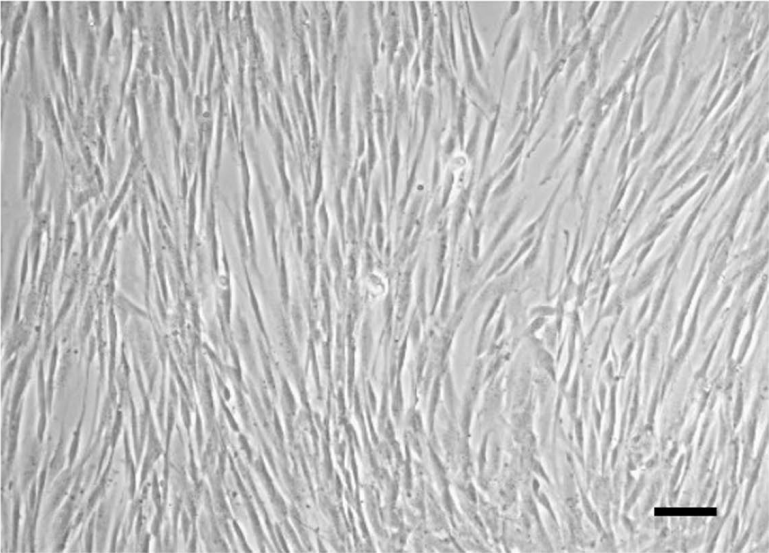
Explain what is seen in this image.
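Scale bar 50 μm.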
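Dense, near-confluent monolayer of spindle-shaped cultured cells, seen unstained under phase contrast. Cells are long and narrow, tapering at both ends, and lie closely side by side in parallel streams that run mostly vertically and sweep in gentle curves, forming a swirling, fascicle-like pattern. Little free substrate shows between cells. Occasional small round bright refractile cells sit on the surface.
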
